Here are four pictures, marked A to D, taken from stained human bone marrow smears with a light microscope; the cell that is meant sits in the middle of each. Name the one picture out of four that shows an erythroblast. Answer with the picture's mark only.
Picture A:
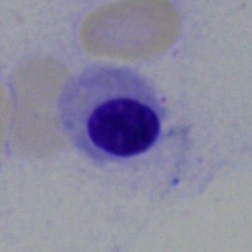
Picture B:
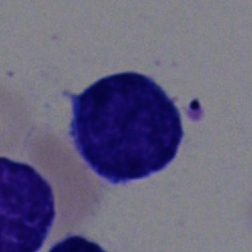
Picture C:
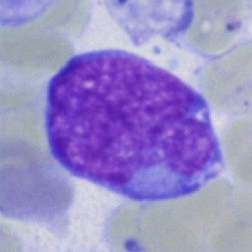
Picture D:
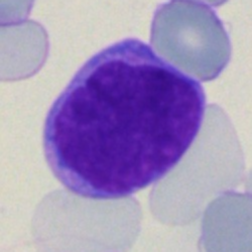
A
